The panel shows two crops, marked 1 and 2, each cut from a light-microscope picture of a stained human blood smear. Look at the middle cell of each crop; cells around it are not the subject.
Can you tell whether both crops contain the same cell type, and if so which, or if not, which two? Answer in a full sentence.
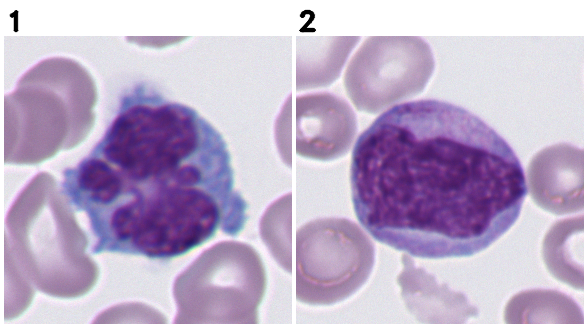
No; crop 1 is a monocyte, while crop 2 is an atypical promyelocyte.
